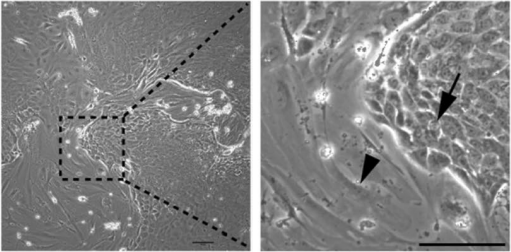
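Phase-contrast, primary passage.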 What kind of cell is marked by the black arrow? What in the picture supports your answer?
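Small epithelial cells. The arrow points into a cluster of small, tightly packed polygonal cells. These cells lie side by side in a sheet with bright borders between them.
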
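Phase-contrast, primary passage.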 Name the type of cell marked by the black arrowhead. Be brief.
mesenchymal cells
